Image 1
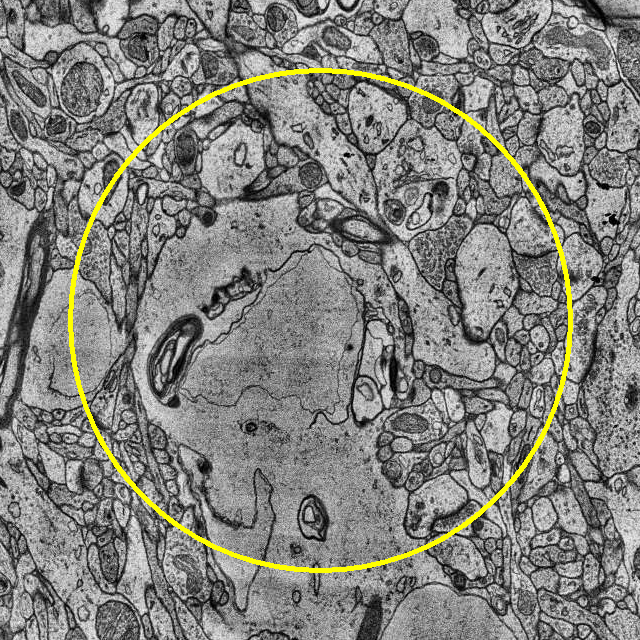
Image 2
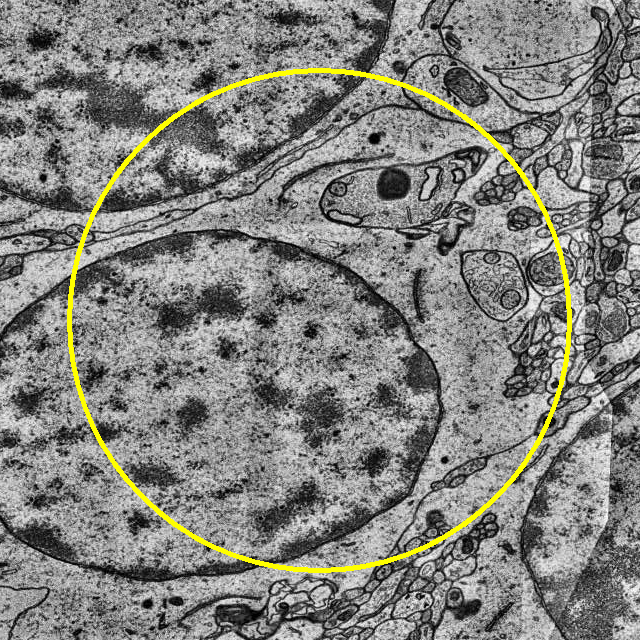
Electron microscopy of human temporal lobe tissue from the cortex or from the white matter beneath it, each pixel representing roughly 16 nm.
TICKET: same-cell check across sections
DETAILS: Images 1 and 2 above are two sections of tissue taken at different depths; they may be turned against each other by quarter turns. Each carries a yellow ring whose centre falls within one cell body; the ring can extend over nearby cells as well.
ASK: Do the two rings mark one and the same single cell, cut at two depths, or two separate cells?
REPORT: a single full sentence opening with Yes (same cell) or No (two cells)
No, the two rings are drawn around two distinct cells.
